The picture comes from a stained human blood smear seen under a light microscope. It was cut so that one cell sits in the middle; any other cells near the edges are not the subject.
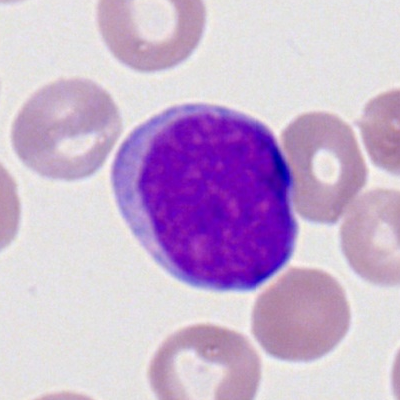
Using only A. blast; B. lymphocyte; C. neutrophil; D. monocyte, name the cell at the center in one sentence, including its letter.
The correct option, A, names the middle cell as a blast.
